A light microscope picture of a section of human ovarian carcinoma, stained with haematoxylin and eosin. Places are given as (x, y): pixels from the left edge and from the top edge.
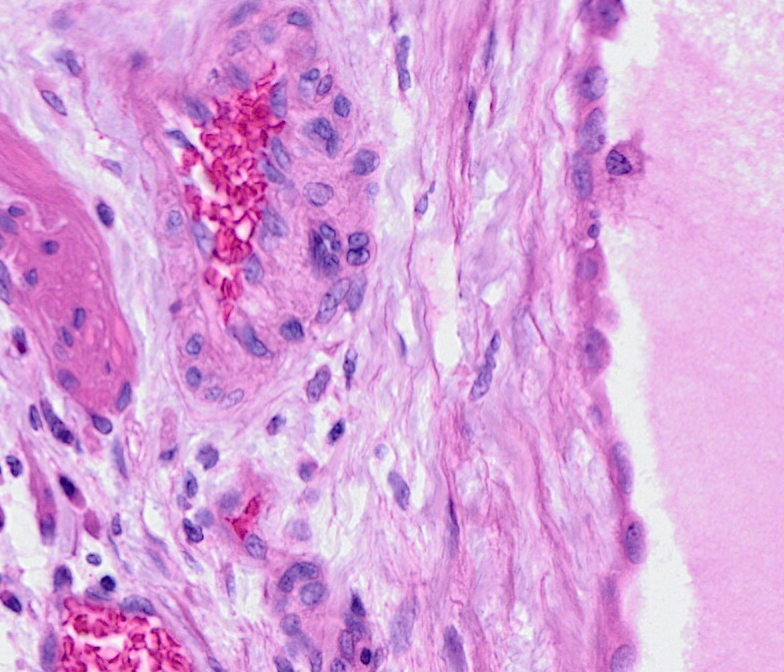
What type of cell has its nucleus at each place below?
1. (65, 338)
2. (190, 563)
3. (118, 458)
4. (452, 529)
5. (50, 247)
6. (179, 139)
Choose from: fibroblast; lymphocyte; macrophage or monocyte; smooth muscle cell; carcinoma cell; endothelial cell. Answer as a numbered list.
1. smooth muscle cell
2. fibroblast
3. fibroblast
4. fibroblast
5. smooth muscle cell
6. endothelial cell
